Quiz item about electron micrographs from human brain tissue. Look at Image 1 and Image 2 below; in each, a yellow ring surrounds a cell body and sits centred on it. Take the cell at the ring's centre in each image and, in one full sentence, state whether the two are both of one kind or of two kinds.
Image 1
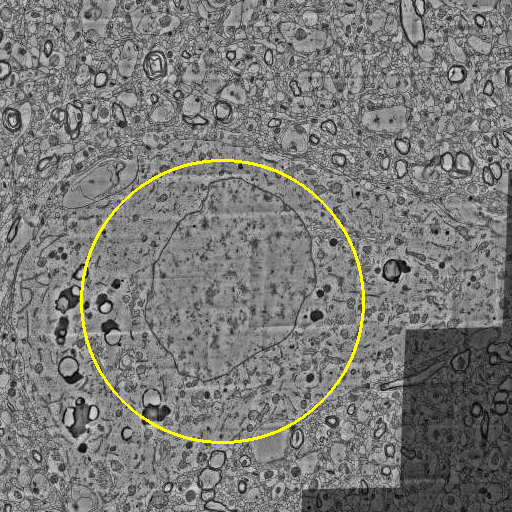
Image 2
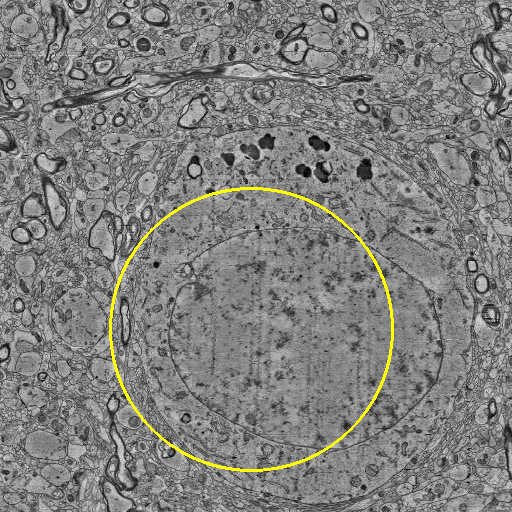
In Image 1 and Image 2, the cells at the ring centres are both of one kind.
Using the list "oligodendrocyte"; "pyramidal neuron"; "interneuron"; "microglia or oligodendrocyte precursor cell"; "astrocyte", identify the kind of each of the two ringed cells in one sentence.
Both rings mark a pyramidal neuron, one in each picture.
